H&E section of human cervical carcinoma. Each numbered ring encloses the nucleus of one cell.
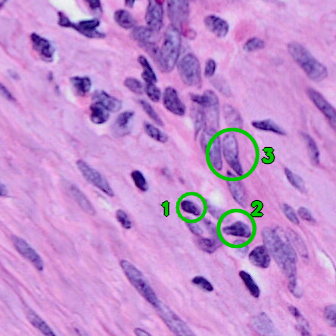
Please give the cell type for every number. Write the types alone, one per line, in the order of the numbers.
lymphocyte
lymphocyte
endothelial cell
